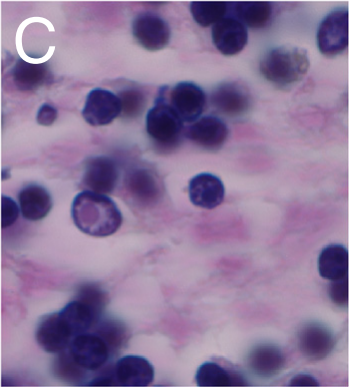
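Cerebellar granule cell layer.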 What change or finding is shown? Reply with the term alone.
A: Intranuclear inclusion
